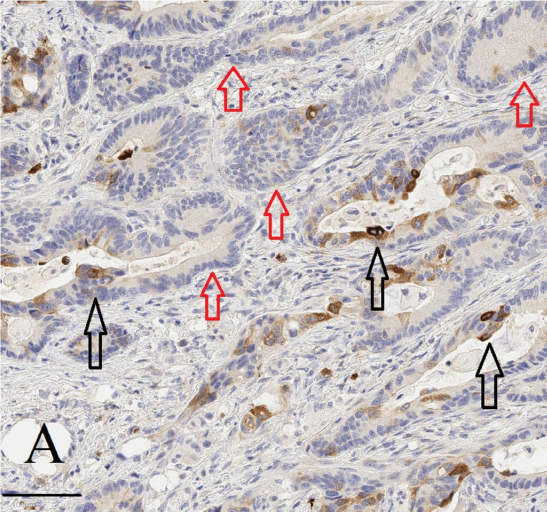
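This is carcinoma tissue with irregular tumour glands in a fibrous stroma. Many glands are lined by columnar cells with elongated blue nuclei and show little brown stain. Within and along some clear, elongated spaces lie small clusters and tufts of tumour cells that are stained brown in the cytoplasm and at the cell borders. The stroma between the glands contains spindle-shaped cells and scattered small cells.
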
